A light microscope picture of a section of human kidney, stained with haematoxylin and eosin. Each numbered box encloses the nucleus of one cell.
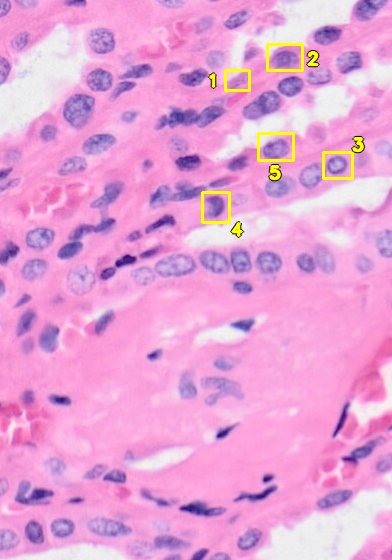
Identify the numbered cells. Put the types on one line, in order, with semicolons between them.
loop of Henle or distal tubule cell; loop of Henle or distal tubule cell; collecting duct cell; collecting duct cell; loop of Henle or distal tubule cell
